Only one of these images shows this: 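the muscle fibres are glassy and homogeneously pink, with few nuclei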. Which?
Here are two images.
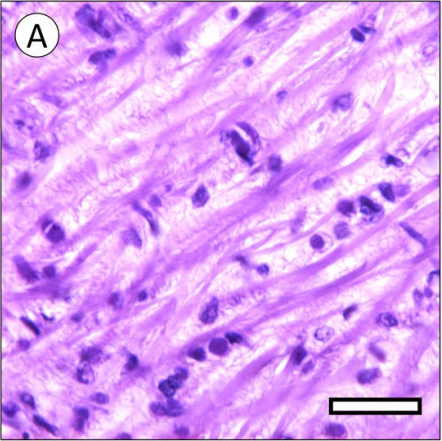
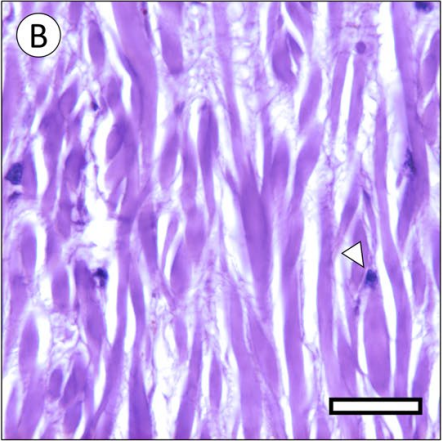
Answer: the second image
